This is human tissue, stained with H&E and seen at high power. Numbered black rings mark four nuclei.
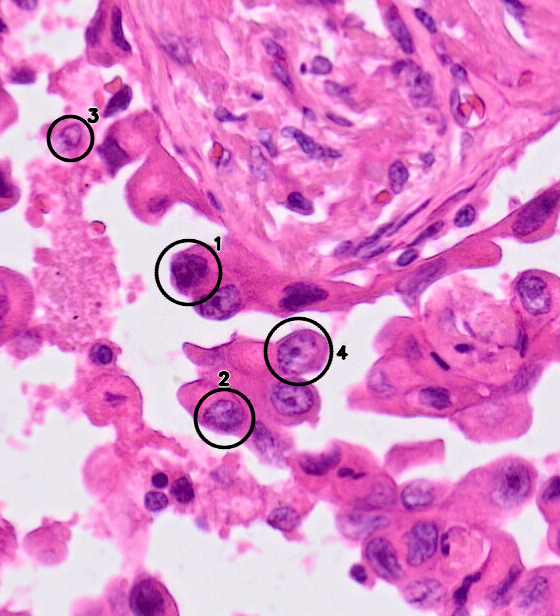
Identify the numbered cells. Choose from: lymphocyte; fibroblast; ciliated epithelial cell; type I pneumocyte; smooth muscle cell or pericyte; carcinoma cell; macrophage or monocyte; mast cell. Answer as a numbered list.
1. carcinoma cell
2. carcinoma cell
3. macrophage or monocyte
4. carcinoma cell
